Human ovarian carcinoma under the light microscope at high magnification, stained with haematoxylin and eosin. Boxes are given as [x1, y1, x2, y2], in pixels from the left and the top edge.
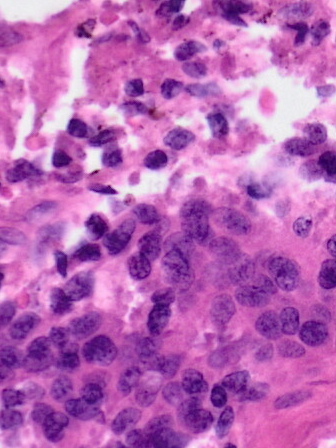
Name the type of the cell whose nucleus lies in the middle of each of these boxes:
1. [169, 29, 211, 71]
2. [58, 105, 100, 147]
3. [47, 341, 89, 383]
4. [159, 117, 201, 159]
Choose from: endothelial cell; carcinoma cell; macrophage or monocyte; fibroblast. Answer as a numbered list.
1. macrophage or monocyte
2. carcinoma cell
3. carcinoma cell
4. macrophage or monocyte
